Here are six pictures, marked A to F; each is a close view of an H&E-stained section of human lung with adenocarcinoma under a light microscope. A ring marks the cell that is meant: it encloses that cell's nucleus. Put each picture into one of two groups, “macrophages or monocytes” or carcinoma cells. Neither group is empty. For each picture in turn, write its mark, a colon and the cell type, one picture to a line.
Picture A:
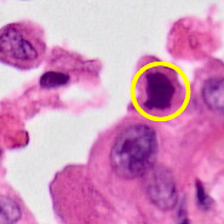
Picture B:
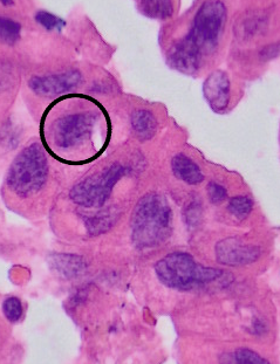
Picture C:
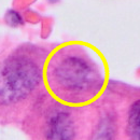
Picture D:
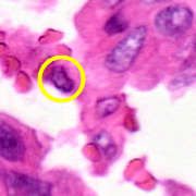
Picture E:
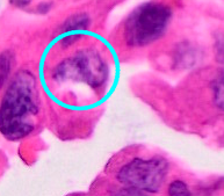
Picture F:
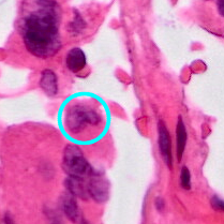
A: carcinoma cell
B: carcinoma cell
C: carcinoma cell
D: macrophage or monocyte
E: carcinoma cell
F: macrophage or monocyte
